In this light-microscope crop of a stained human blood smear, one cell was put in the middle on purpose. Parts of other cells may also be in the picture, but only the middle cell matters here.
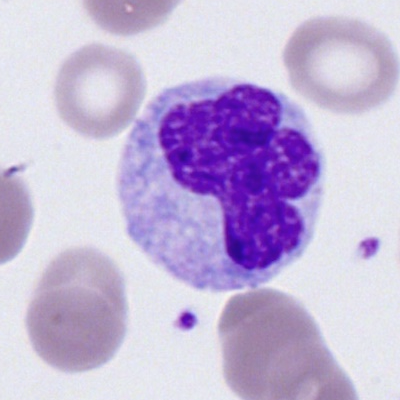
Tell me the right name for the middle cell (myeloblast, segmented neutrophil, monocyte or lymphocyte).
monocyte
